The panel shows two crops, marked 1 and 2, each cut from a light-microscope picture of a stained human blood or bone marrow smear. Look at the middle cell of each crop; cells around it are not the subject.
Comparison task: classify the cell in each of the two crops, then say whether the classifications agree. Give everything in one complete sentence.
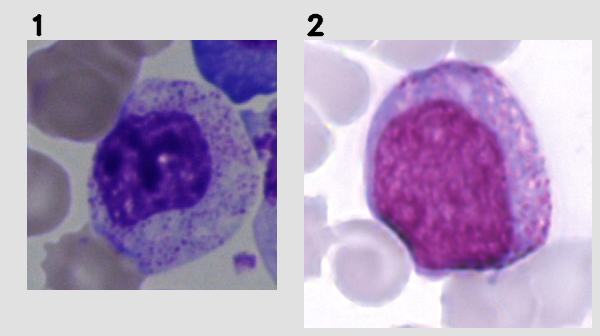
No, the cell in crop 1 is a myelocyte and the one in crop 2 is a promyelocyte.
